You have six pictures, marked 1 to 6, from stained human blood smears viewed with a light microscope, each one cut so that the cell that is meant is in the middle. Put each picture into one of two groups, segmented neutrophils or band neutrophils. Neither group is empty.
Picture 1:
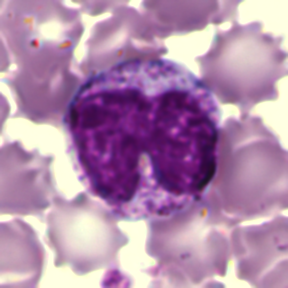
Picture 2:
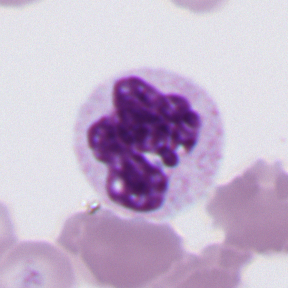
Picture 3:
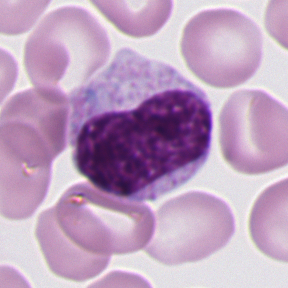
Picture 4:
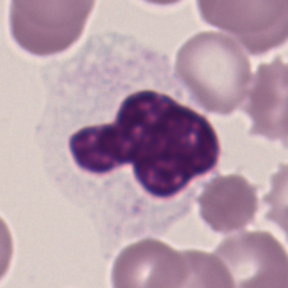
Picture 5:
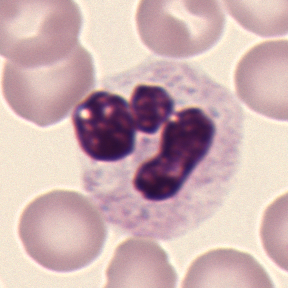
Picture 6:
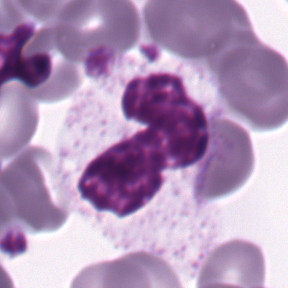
1: band neutrophil
2: segmented neutrophil
3: band neutrophil
4: segmented neutrophil
5: segmented neutrophil
6: band neutrophil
